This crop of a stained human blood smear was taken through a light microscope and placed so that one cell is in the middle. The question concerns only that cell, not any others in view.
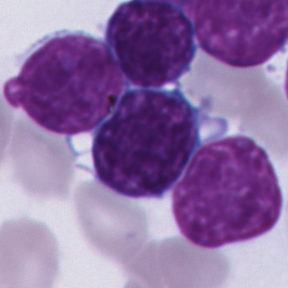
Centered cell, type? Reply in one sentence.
The crop's centre is taken up by a blast.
